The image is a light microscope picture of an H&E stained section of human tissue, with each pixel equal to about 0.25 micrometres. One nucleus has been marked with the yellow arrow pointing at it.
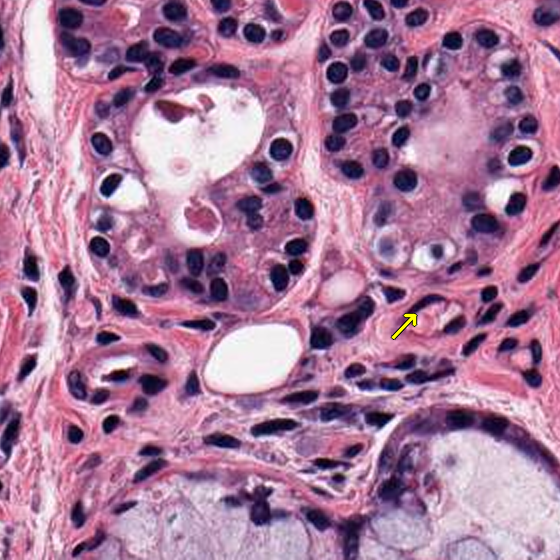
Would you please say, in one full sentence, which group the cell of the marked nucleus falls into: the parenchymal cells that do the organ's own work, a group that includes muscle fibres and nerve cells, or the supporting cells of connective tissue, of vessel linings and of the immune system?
The marked nucleus is identified as belonging to a supporting cell.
